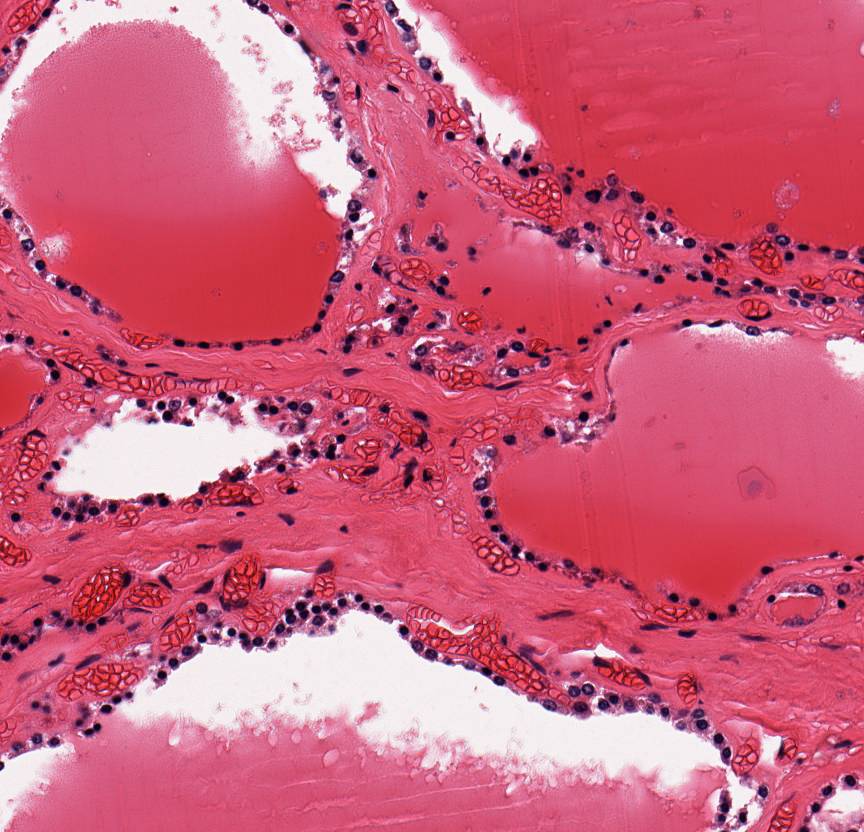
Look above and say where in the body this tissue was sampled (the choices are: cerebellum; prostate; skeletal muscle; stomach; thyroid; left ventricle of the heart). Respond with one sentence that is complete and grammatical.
The sample used for this section is from the thyroid.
